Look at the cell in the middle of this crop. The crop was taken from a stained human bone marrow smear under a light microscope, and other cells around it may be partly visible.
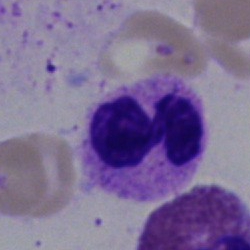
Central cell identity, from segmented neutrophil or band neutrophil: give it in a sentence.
The crop shows a segmented neutrophil in its centre.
